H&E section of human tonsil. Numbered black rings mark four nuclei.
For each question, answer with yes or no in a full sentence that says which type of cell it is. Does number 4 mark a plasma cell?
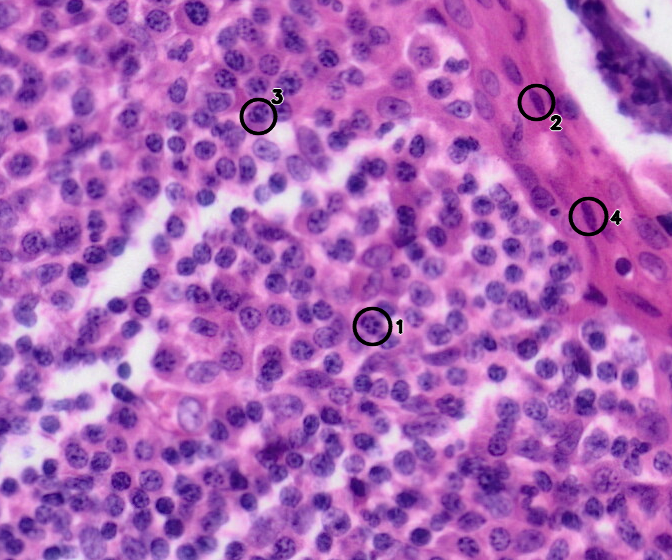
No, cell 4 is not a plasma cell. It is a squamous epithelial cell.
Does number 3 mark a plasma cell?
Yes, to put it simply, cell number 3 is a plasma cell.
